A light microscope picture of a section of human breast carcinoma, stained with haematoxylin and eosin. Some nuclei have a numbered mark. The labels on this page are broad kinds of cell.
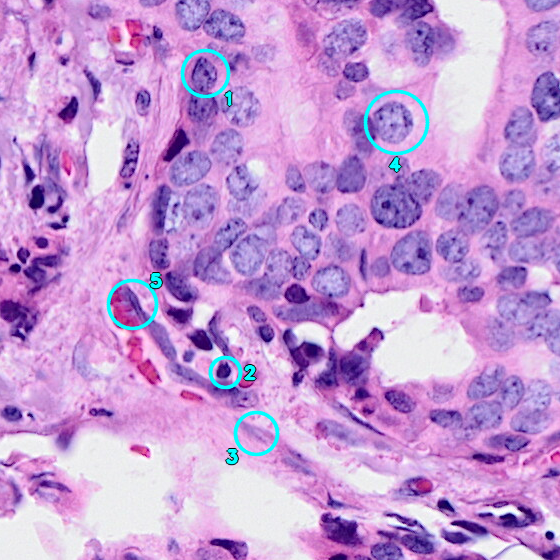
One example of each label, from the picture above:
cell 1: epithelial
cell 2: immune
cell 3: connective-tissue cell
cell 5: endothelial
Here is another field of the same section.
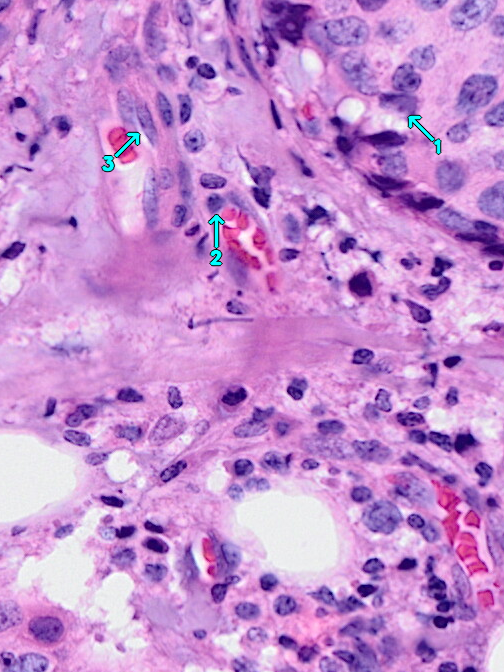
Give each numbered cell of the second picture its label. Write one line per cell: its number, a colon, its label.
1: epithelial
2: immune
3: endothelial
